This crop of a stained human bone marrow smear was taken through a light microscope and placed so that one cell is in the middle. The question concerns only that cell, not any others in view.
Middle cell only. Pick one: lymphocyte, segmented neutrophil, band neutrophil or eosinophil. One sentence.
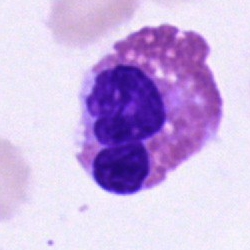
Located at the centre of the crop is an eosinophil.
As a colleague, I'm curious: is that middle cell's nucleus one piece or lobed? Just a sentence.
It is worth mentioning that the nucleus carries two or more lobes.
